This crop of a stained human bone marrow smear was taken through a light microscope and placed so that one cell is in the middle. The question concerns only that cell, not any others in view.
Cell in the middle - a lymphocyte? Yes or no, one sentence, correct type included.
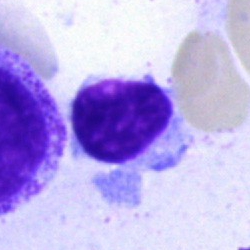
Yes, the cell at the crop's center is a lymphocyte.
